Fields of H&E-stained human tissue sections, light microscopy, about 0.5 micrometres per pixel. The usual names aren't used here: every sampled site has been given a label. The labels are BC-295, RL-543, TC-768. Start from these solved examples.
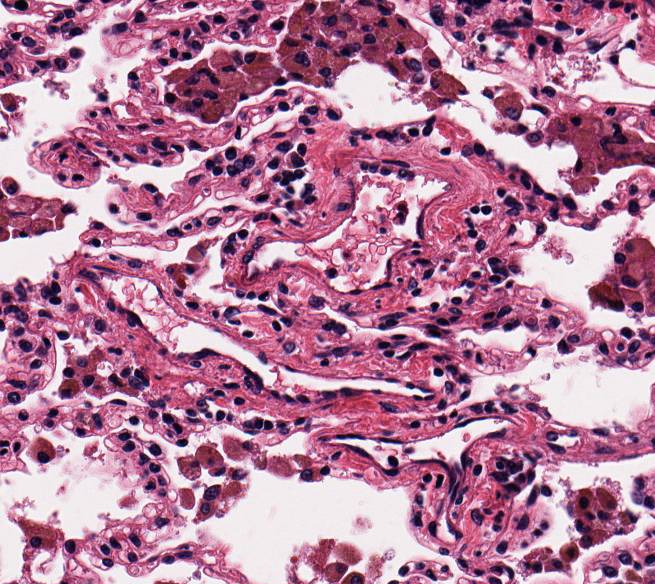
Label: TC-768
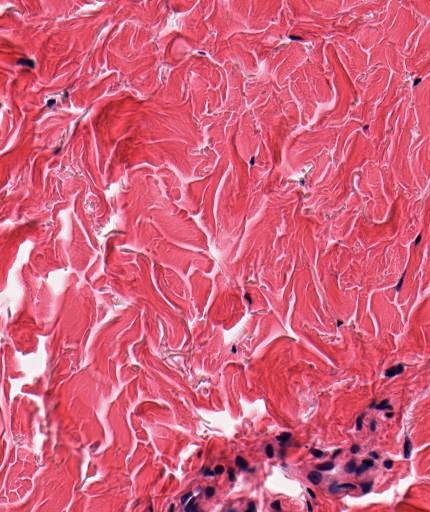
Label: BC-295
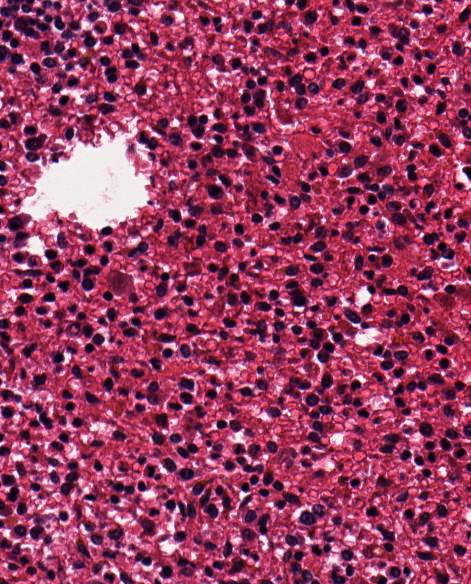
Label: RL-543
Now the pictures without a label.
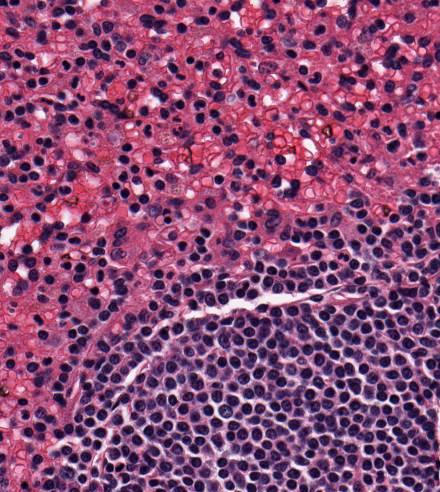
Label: RL-543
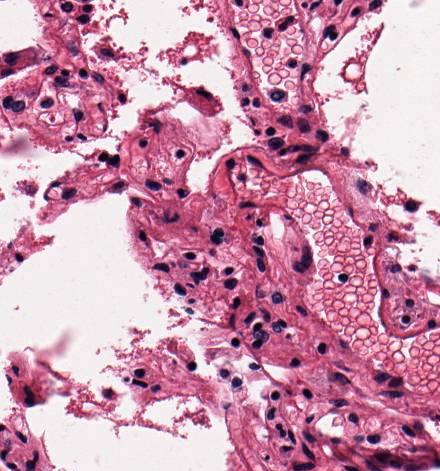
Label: TC-768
